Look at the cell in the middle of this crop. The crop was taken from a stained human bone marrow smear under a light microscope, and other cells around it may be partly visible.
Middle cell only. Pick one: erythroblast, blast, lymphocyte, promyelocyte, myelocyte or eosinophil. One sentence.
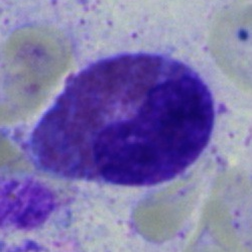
Of the cells in this crop, the central one is an eosinophil.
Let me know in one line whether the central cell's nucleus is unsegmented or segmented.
Between us, the nucleus here is just one compact mass, round, oval or kidney-shaped.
